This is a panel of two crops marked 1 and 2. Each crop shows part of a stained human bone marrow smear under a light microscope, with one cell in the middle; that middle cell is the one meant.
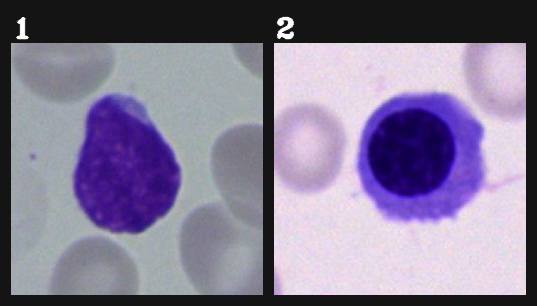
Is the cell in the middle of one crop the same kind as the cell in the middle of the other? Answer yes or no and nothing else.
no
